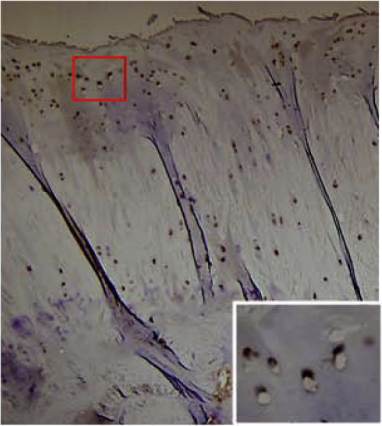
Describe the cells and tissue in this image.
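Cartilage whose matrix is crossed by long dark lines running down from an uneven surface, with chondrocytes scattered through both the superficial and deeper layers. Most of these chondrocytes are stained dark brown against a pale blue-purple matrix, and the inset shows them sitting in rounded lacunae.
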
